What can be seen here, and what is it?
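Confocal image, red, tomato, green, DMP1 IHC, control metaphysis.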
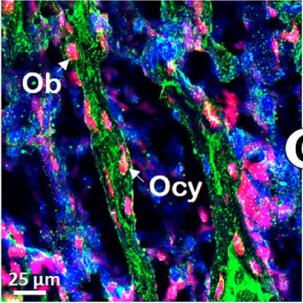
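Elongated trabeculae of metaphyseal bone run diagonally across the field as green-stained strands. Red cells lie scattered within and along these strands, some embedded in the green matrix and others at its edges. Between the trabeculae lies blue-stained marrow tissue with patches of red cells.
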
